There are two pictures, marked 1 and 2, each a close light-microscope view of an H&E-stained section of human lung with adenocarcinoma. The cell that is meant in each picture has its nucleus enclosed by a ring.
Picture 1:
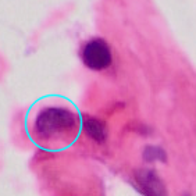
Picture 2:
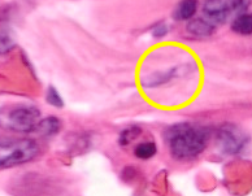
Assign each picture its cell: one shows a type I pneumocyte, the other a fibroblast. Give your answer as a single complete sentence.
The cell in picture 1 is a type I pneumocyte, and the one in picture 2 is a fibroblast.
